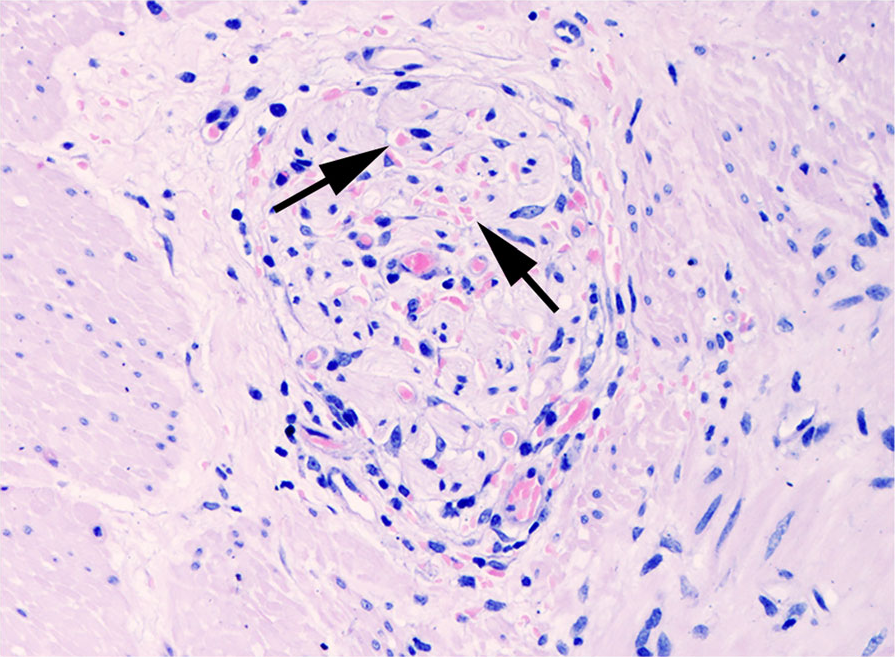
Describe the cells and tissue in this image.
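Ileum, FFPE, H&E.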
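This is a ganglion of the myenteric plexus, seen as a rounded, well-circumscribed nodule lying between bundles of pink smooth muscle with elongated nuclei. The ganglion contains no large ganglion cells; instead it is crowded with small spindle-shaped and oval dark blue nuclei of stromal cells set in a pale, fibrillar pink background, with the nuclei especially dense at its rim. Small round, bright pink spheroid bodies are scattered among these cells within the ganglion.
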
